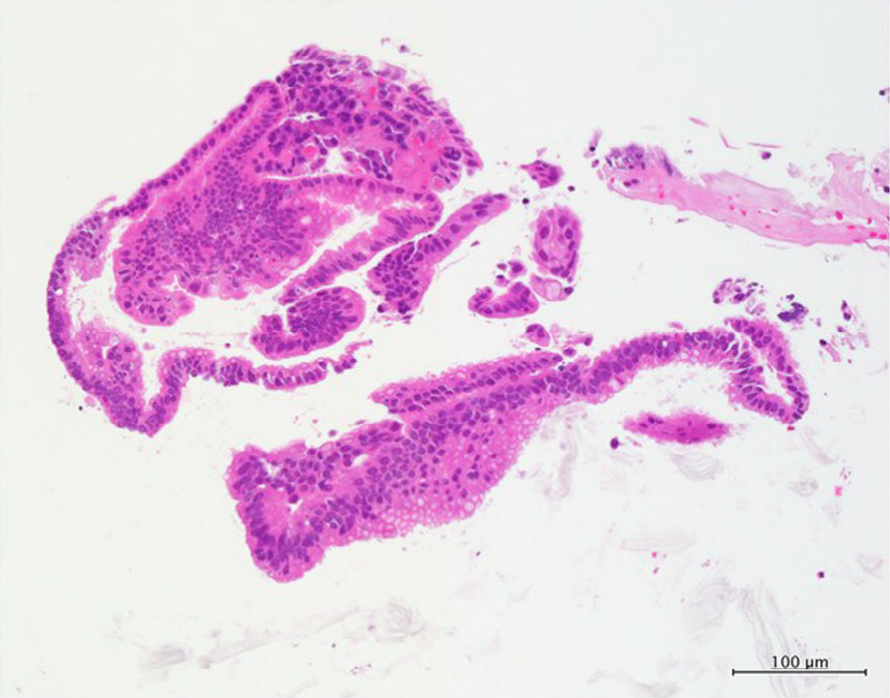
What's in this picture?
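These small biopsy fragments consist of glandular epithelium. Tall columnar cells with pink cytoplasm are crowded into folded, finger-like and gland-like fragments. In places the nuclei are crowded and appear layered rather than sitting in one neat row.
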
